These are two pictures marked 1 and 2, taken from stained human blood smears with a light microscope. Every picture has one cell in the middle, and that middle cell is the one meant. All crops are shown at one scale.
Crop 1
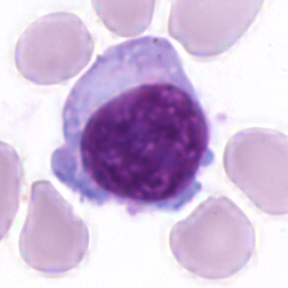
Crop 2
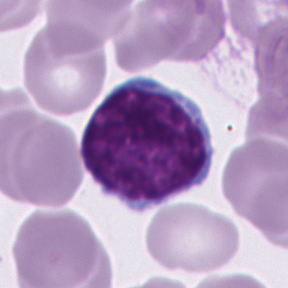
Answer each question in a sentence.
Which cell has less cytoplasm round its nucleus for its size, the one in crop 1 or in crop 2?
The nucleus fills more of the cell in crop 2 than in crop 1.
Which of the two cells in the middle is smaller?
Smaller is the cell in crop 2, and the other is about 1.5 times as large in area.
